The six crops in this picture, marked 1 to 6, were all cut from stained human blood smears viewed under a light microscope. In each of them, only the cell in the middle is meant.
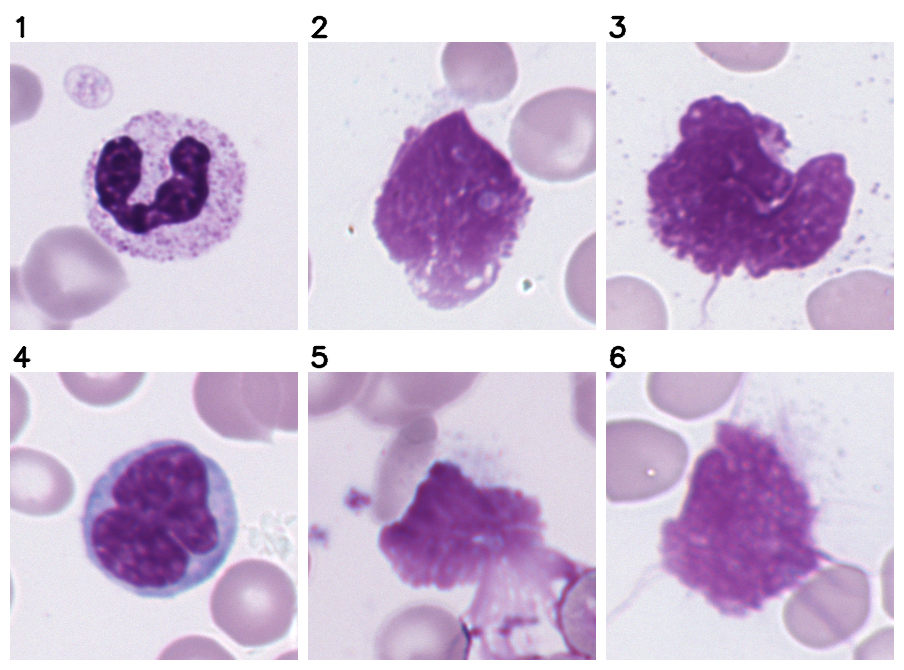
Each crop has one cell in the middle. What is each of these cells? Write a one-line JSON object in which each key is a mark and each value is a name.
{"1": "segmented neutrophil", "2": "smudge cell", "3": "smudge cell", "4": "typical lymphocyte", "5": "smudge cell", "6": "smudge cell"}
